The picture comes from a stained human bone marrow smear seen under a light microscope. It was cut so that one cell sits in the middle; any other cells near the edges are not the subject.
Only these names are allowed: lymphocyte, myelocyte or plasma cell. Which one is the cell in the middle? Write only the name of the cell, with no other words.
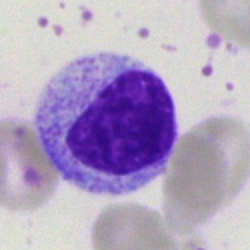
myelocyte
